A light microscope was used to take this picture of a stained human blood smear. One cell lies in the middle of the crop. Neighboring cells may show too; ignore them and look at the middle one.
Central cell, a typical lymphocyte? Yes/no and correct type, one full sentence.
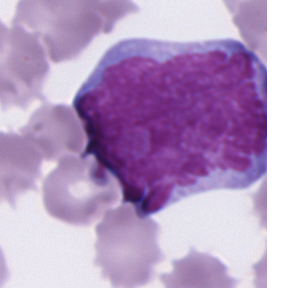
No, the cell in the middle of the crop counts as a myeloblast and not as a typical lymphocyte.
